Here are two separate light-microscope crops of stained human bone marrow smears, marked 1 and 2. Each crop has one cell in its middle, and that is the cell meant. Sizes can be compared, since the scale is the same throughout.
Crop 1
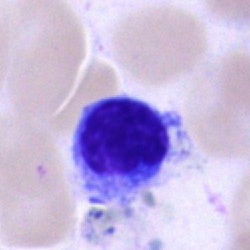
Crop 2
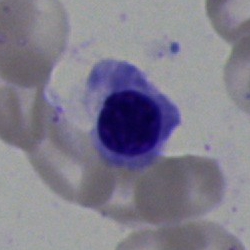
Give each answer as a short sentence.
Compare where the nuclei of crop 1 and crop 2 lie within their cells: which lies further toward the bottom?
Seen within its cell, the nucleus in crop 2 lies further toward the bottom.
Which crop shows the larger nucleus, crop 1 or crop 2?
Crop 1 shows the larger nucleus; it covers about 1.5 times the area of the nucleus in crop 2.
